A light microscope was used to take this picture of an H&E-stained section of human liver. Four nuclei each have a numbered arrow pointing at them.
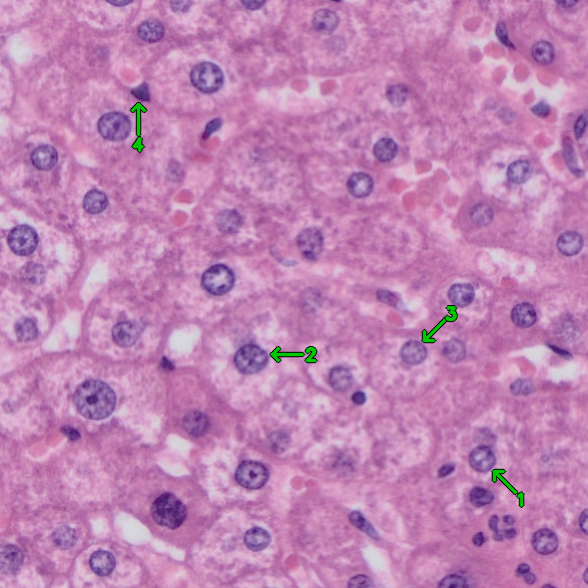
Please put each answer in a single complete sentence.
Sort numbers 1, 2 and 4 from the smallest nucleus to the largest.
From smallest to largest, the order is 4, 1, 2.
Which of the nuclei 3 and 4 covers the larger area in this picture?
Nucleus 3 is the larger one, covering about 2 times the area of nucleus 4.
